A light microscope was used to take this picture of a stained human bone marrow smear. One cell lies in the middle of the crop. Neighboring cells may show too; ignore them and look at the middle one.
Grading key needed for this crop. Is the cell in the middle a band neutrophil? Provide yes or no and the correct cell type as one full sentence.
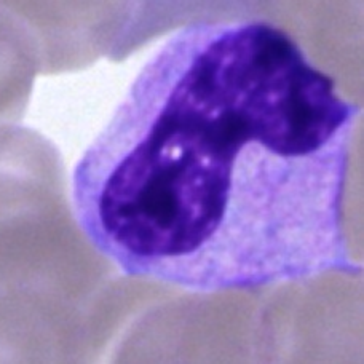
Yes, the cell that occupies the centre is a band neutrophil.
